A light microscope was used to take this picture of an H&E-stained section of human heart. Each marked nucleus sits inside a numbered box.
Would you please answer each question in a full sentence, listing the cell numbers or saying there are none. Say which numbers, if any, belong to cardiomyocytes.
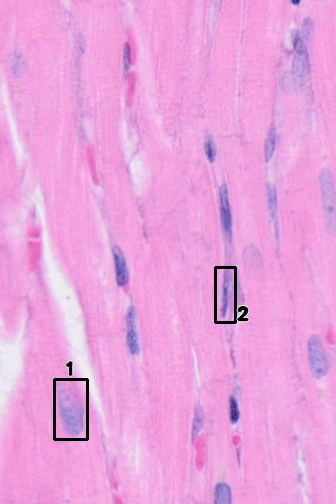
Cell 1 is a cardiomyocyte, while all remaining marked cells are of other types.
